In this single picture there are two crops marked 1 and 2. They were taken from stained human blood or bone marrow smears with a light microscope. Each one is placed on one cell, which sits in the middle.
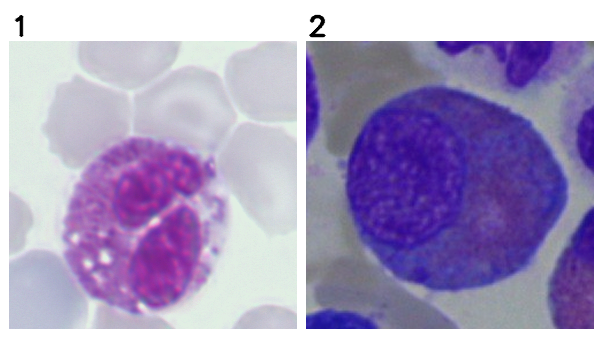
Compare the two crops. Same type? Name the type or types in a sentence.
Yes, the cells found in the middle of both crops are eosinophils.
